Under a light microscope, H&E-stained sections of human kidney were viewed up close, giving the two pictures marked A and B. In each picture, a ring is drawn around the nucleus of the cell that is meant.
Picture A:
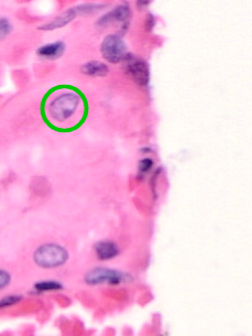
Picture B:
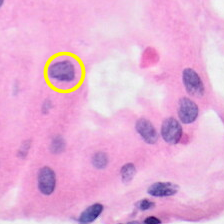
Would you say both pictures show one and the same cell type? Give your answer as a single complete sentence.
Yes, they are the same type: both are proximal tubule cells.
